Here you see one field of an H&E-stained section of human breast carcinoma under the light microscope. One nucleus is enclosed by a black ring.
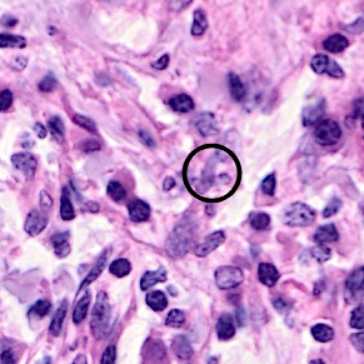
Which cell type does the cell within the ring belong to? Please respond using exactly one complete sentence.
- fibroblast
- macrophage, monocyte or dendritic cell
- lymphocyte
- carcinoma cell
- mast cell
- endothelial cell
Histopathologically, the cell within the ring is a macrophage, monocyte or dendritic cell.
